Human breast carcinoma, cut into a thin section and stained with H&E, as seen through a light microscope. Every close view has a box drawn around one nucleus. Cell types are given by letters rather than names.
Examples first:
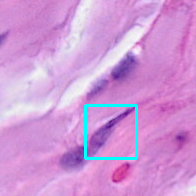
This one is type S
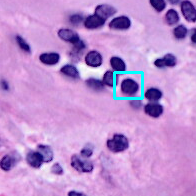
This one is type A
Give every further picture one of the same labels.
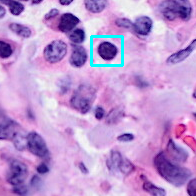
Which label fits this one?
type A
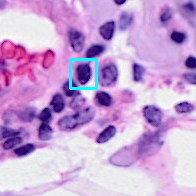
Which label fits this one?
type A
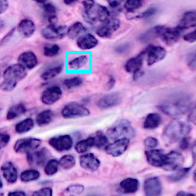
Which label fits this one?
type A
